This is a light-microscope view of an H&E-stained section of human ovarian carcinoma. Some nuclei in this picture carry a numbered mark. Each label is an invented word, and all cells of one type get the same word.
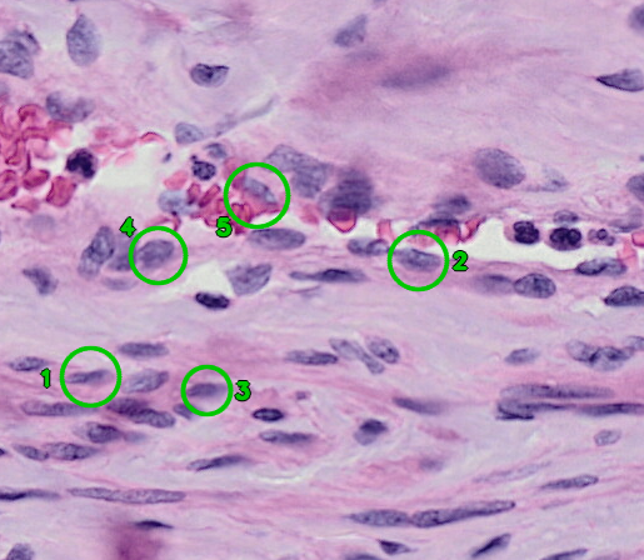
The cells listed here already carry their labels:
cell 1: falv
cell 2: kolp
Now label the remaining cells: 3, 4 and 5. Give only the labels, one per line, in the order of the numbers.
falv
kolp
kolp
